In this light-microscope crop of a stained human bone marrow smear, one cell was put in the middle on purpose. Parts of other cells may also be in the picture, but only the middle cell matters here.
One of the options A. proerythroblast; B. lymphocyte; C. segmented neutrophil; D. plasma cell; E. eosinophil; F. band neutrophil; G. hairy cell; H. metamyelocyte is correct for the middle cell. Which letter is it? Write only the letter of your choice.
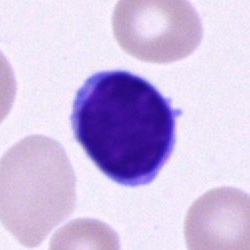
B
